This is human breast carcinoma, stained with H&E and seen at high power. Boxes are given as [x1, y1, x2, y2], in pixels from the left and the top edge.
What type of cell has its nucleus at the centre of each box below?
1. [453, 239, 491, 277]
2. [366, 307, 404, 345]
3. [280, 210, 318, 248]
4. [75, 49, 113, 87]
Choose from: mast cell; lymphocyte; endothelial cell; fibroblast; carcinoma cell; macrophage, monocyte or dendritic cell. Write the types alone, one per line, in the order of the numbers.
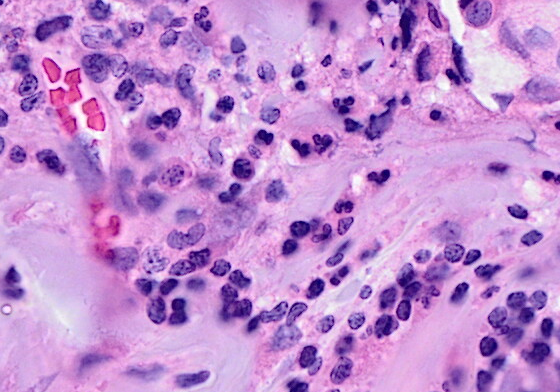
lymphocyte
lymphocyte
lymphocyte
endothelial cell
